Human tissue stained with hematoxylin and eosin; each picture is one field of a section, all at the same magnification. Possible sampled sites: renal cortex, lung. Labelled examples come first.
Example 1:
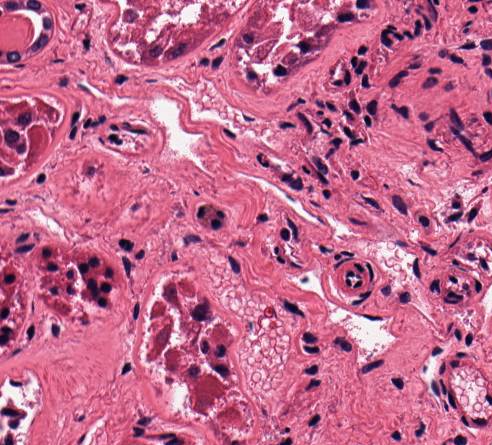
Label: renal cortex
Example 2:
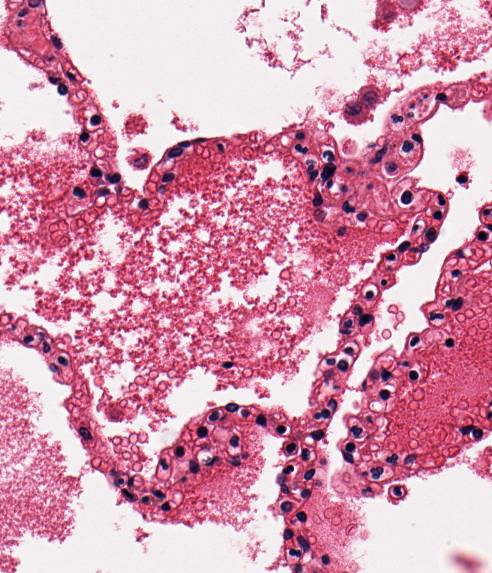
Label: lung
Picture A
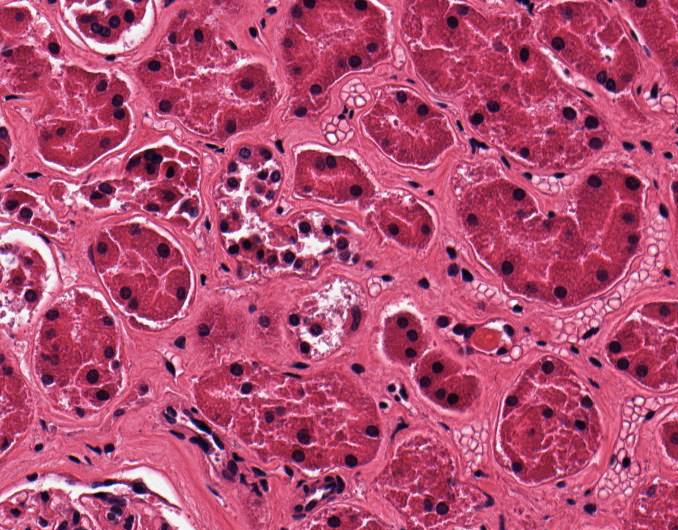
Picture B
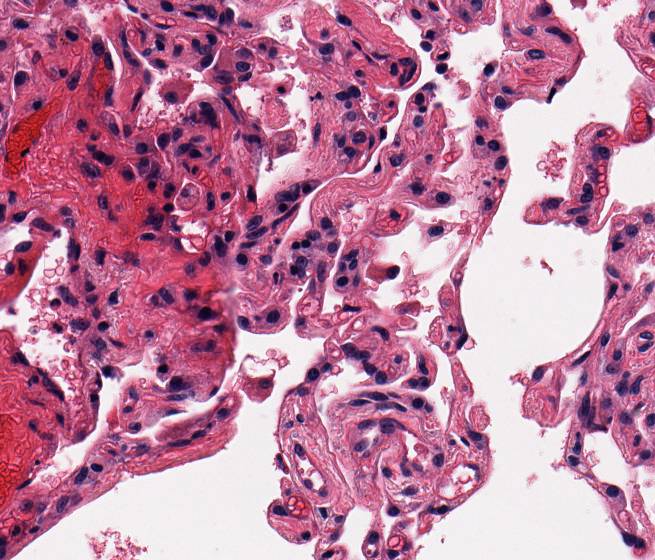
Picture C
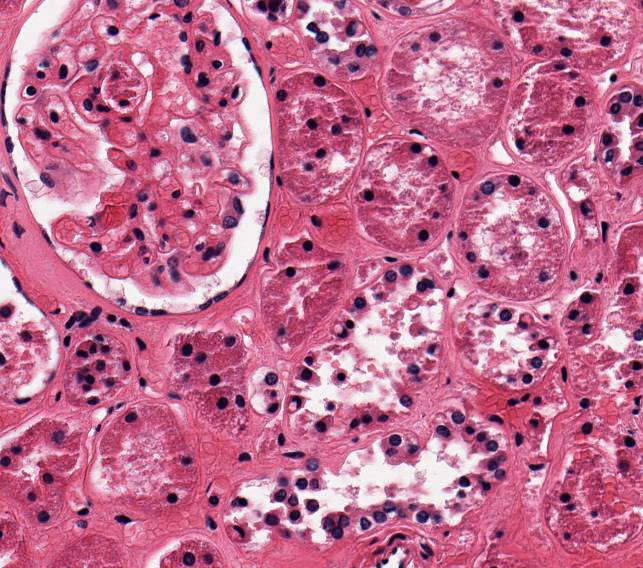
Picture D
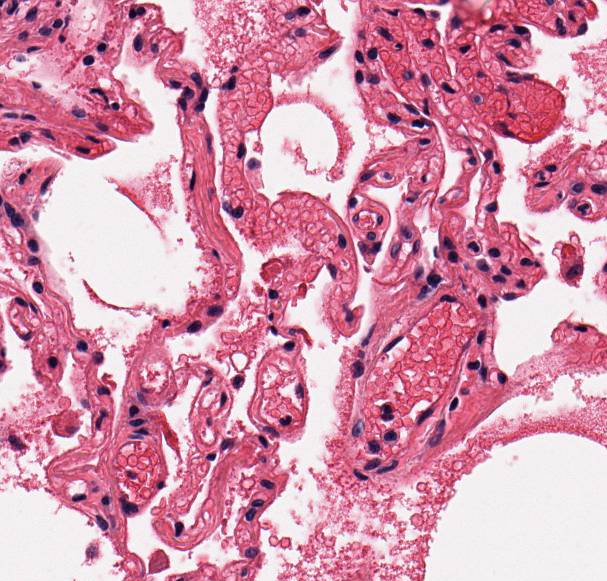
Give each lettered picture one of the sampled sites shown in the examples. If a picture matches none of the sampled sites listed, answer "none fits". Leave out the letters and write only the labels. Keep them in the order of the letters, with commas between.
renal cortex, lung, renal cortex, lung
